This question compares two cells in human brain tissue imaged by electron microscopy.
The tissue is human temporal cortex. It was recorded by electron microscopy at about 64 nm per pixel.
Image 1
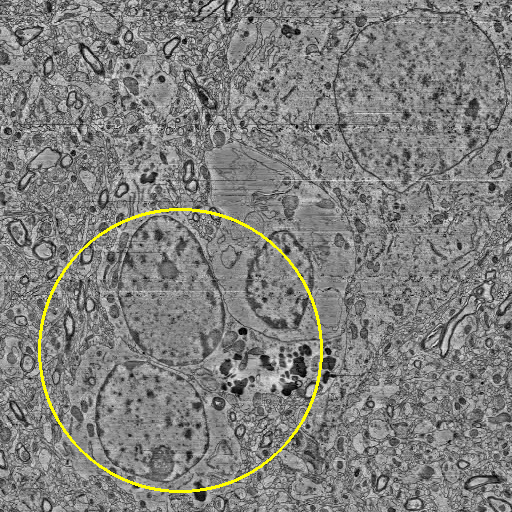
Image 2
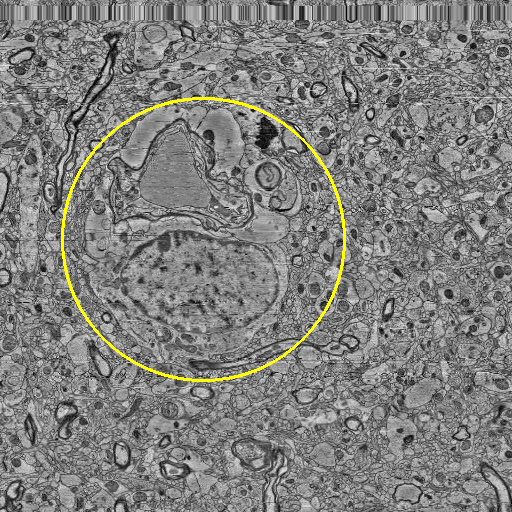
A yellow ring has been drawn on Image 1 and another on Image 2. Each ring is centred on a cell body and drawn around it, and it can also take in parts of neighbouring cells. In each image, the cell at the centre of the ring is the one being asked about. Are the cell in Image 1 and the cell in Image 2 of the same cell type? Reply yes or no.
no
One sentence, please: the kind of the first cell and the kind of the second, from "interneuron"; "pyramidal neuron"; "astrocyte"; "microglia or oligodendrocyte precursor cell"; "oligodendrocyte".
The ring in the first picture surrounds an astrocyte, and the ring in the second surrounds a microglial cell or oligodendrocyte precursor cell.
